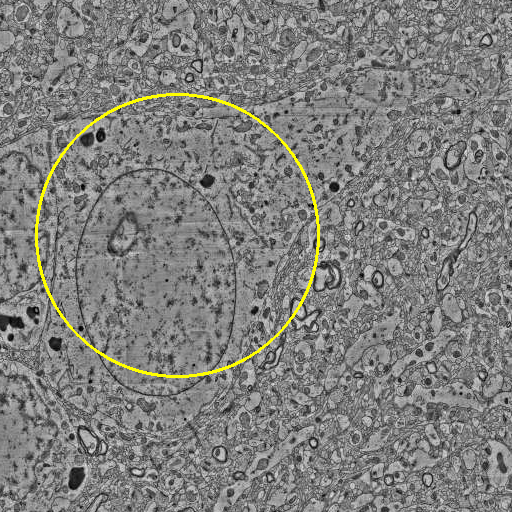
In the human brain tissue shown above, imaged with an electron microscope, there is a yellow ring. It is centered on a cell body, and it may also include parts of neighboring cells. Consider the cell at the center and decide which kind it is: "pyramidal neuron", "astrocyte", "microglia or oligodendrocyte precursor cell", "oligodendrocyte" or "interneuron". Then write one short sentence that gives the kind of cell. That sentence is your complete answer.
This centered cell body is that of a pyramidal neuron.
